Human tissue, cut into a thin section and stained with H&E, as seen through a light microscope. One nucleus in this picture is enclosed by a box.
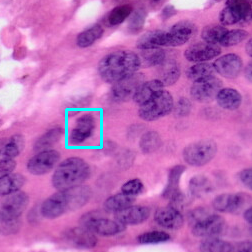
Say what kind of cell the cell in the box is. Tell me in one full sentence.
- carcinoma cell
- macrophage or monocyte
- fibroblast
In the tissue at hand, the cell in the box is a macrophage or monocyte.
